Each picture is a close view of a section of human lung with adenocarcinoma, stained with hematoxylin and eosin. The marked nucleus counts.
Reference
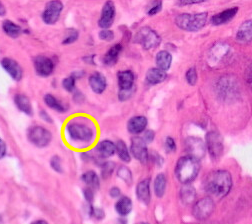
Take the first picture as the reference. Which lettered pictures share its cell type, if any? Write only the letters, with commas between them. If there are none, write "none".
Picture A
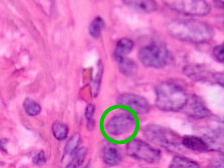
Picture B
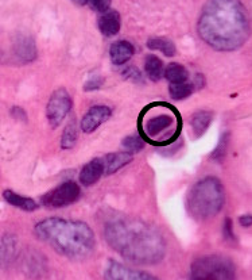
B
